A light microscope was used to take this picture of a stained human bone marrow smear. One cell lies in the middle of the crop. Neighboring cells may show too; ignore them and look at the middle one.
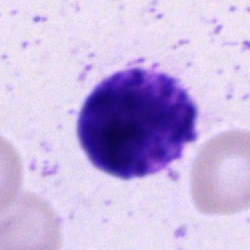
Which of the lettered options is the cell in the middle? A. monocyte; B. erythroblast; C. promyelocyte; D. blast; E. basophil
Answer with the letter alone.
E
